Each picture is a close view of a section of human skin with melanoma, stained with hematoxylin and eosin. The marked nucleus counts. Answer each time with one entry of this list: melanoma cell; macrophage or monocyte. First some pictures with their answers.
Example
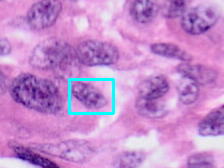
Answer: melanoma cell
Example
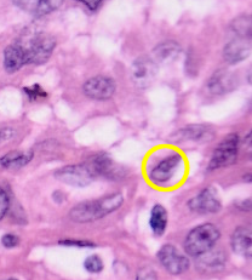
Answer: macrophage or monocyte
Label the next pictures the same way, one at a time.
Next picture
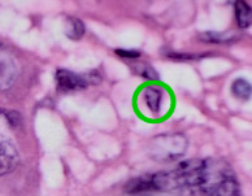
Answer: macrophage or monocyte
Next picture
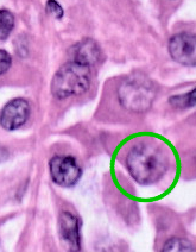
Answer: melanoma cell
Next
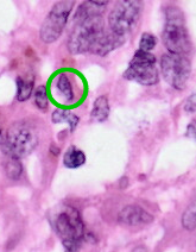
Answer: macrophage or monocyte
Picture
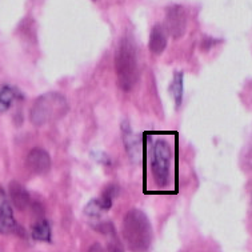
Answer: macrophage or monocyte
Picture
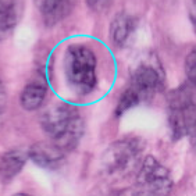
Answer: melanoma cell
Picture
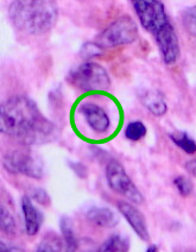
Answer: macrophage or monocyte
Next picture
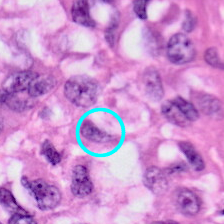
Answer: melanoma cell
